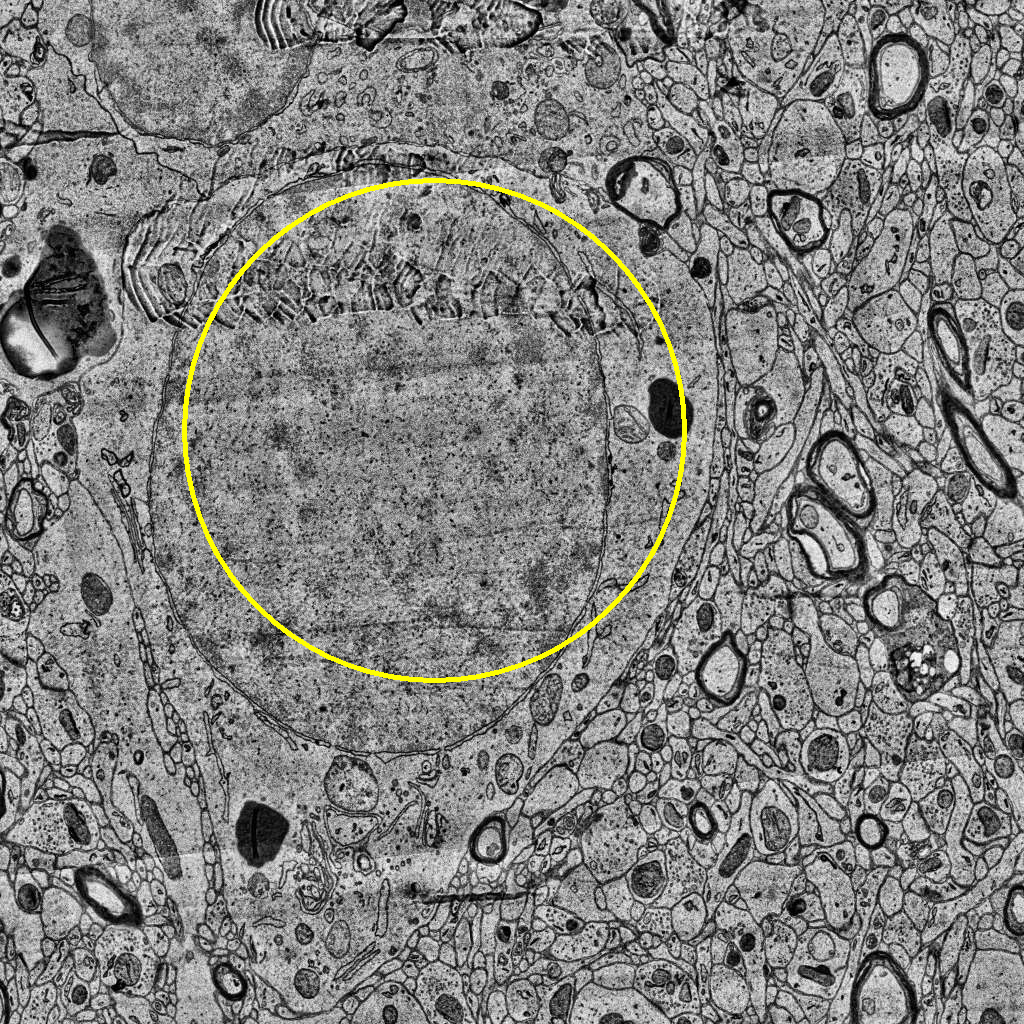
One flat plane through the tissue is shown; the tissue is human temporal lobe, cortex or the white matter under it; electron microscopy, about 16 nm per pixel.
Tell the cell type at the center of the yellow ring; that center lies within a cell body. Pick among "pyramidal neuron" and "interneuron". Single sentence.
The ring's center lies in the body of an interneuron.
